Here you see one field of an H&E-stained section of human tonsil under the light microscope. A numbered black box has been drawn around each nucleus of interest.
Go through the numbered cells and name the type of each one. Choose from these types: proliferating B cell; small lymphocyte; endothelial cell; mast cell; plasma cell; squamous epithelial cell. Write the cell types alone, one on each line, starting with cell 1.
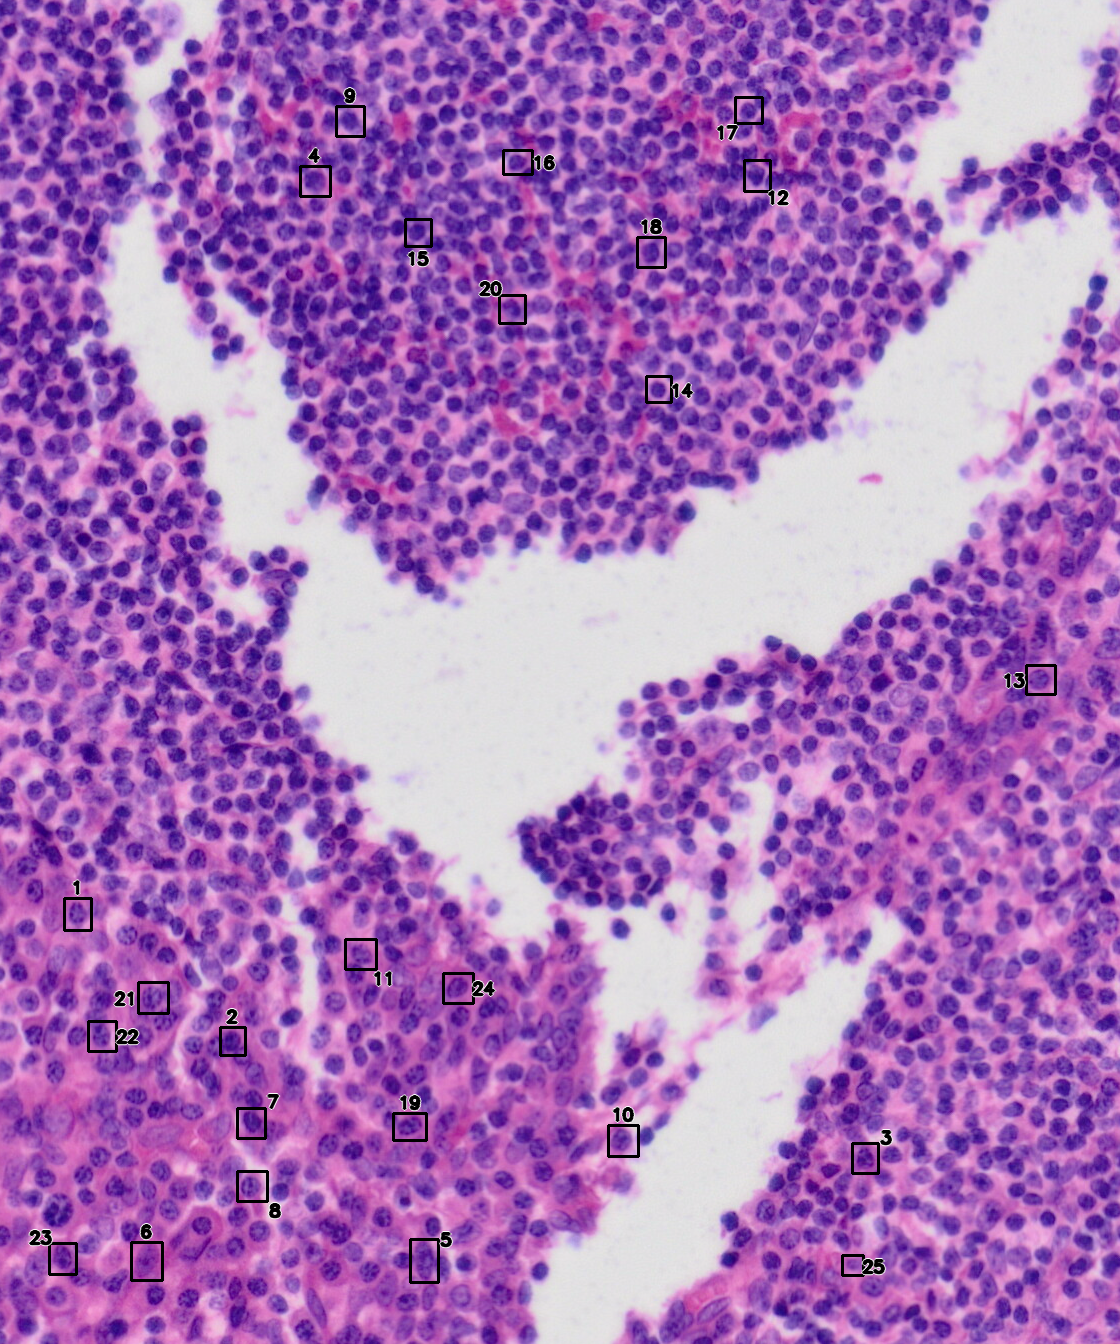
plasma cell
plasma cell
plasma cell
small lymphocyte
squamous epithelial cell
squamous epithelial cell
plasma cell
plasma cell
small lymphocyte
plasma cell
plasma cell
small lymphocyte
plasma cell
small lymphocyte
small lymphocyte
small lymphocyte
small lymphocyte
small lymphocyte
plasma cell
small lymphocyte
plasma cell
plasma cell
plasma cell
plasma cell
endothelial cell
